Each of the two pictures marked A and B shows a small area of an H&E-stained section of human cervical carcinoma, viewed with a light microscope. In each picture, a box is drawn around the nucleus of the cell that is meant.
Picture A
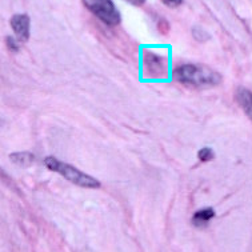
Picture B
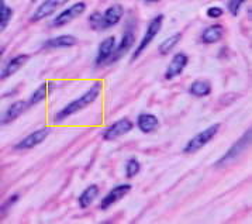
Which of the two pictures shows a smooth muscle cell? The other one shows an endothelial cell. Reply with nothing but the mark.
B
